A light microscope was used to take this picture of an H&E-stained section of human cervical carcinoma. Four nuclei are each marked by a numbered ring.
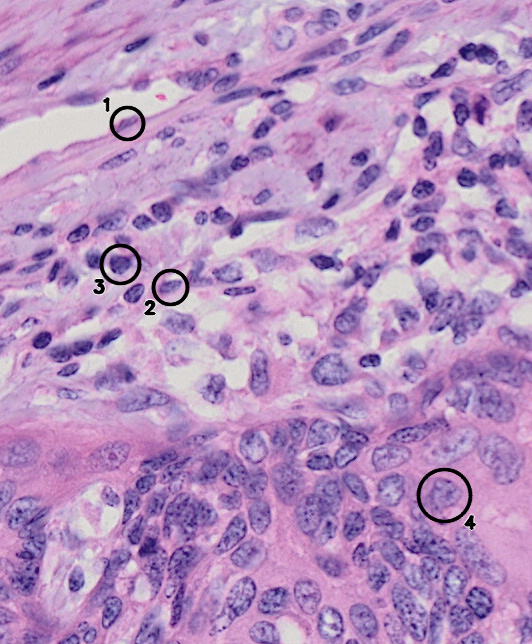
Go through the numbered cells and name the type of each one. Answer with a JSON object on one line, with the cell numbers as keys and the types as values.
{"1": "endothelial cell", "2": "lymphocyte", "3": "lymphocyte", "4": "squamous carcinoma cell"}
